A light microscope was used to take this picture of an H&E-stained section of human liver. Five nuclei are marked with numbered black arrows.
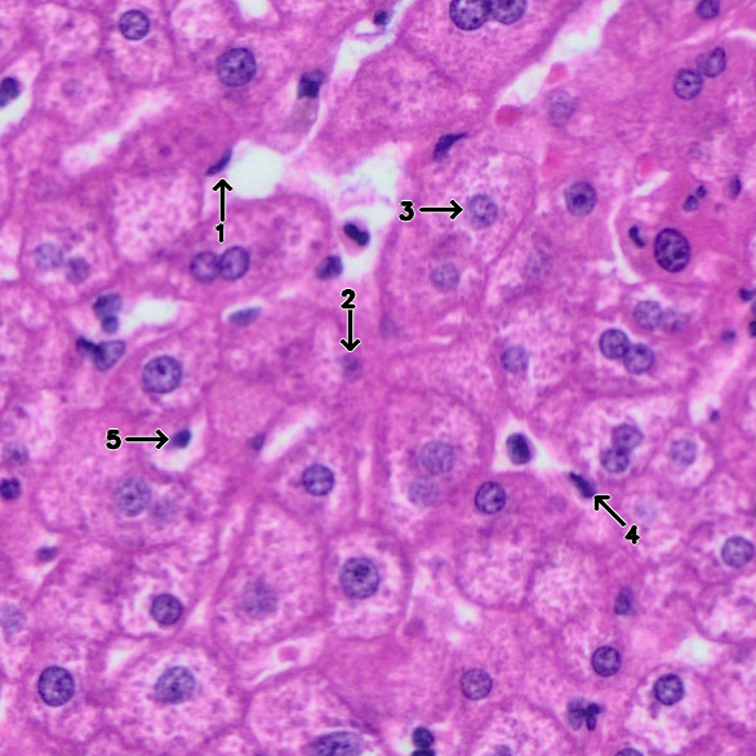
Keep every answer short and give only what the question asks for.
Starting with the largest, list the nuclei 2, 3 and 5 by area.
3, 2, 5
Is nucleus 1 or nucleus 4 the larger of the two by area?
4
